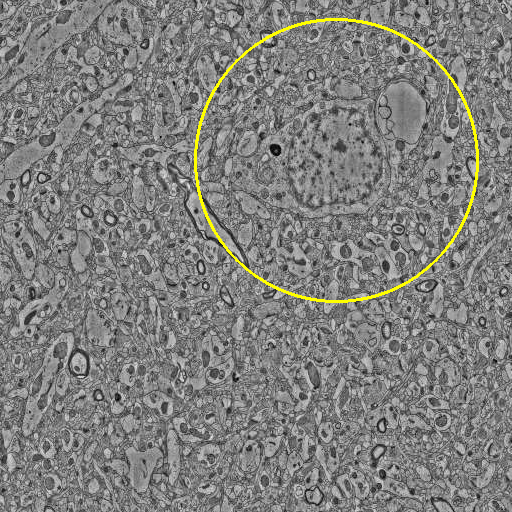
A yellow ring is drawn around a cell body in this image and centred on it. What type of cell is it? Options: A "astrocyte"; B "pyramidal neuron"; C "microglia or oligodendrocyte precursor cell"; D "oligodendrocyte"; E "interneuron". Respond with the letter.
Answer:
E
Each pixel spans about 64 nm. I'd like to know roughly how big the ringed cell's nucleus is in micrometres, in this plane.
In this plane, approximately 6 micrometres across.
